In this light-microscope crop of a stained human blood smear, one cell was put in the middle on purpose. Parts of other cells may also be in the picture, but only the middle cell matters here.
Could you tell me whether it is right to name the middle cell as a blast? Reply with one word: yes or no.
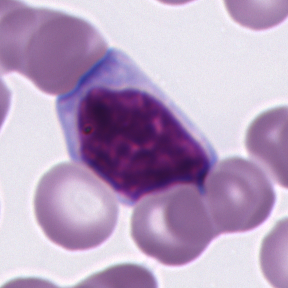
no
